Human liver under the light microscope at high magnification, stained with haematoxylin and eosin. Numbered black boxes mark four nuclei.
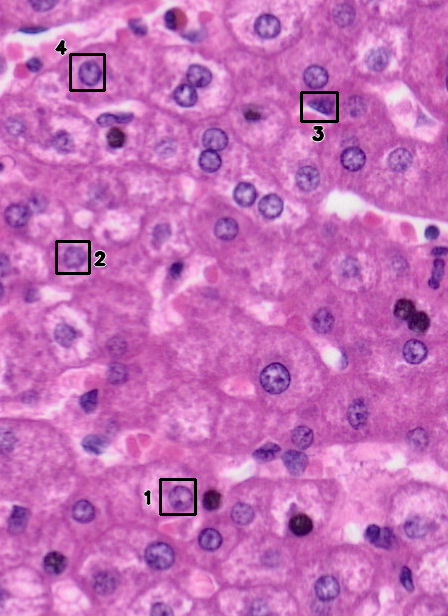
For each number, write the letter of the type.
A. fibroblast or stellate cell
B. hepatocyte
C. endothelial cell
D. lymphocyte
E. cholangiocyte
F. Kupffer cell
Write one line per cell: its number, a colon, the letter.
1: B
2: B
3: C
4: B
